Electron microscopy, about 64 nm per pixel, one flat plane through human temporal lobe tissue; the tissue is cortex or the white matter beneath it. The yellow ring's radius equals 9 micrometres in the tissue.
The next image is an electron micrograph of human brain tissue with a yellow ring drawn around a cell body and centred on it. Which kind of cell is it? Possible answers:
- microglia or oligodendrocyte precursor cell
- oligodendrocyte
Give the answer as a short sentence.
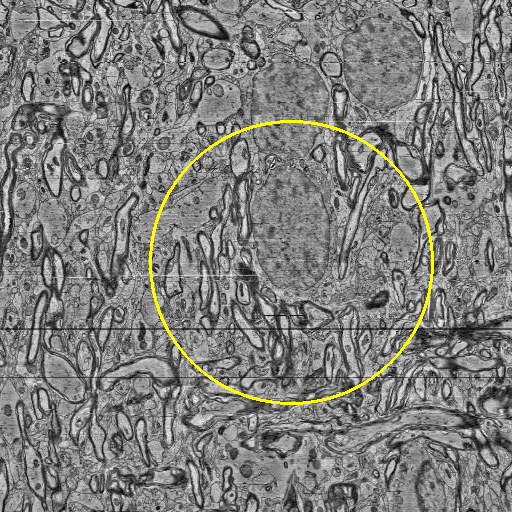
In the ring's centre is an oligodendrocyte.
